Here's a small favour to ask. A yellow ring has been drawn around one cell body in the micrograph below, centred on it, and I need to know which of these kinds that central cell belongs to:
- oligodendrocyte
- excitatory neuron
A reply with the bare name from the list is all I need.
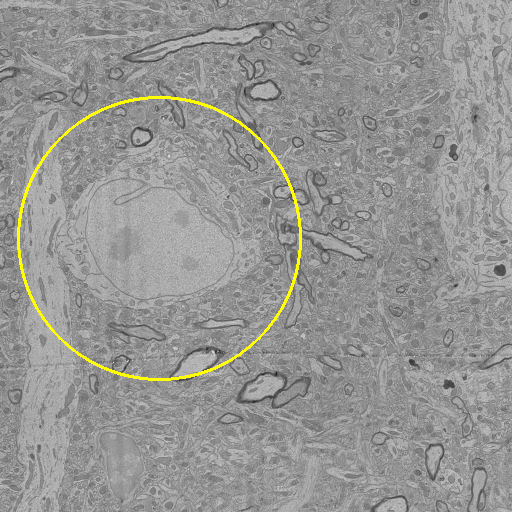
excitatory neuron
